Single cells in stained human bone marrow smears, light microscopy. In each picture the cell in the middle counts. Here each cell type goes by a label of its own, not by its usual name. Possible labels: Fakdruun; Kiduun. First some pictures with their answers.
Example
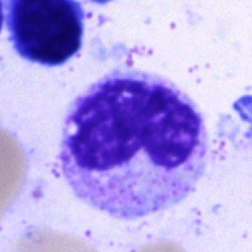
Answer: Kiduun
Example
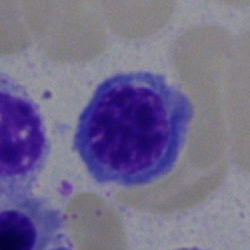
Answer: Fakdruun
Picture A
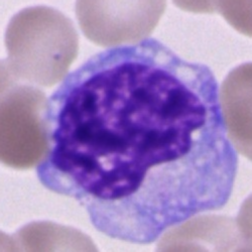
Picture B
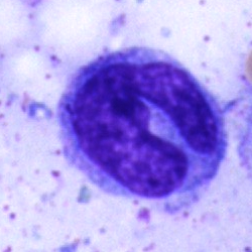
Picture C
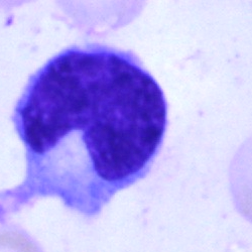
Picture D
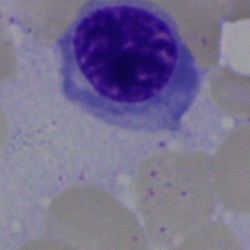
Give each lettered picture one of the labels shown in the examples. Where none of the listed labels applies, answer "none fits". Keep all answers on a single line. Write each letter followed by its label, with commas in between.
A none fits, B none fits, C Kiduun, D Fakdruun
